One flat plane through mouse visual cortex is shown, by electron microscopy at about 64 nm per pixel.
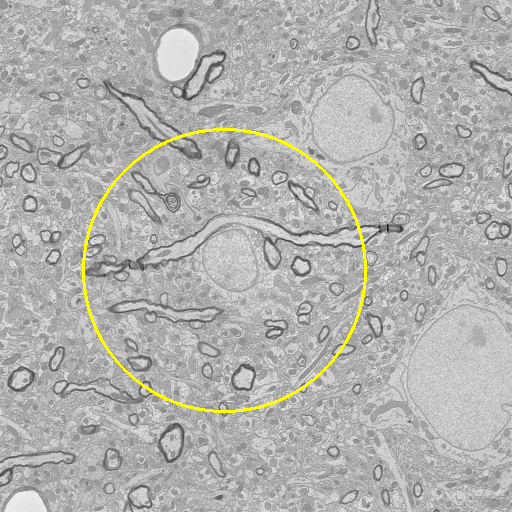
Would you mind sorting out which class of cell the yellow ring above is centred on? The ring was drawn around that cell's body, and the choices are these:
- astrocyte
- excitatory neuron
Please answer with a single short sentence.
This is the cell body of an astrocyte.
